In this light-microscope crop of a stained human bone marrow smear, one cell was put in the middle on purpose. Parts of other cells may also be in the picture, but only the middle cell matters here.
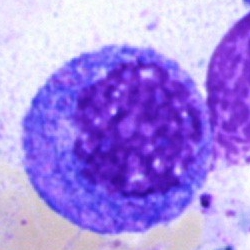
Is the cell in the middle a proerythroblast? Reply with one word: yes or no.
no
